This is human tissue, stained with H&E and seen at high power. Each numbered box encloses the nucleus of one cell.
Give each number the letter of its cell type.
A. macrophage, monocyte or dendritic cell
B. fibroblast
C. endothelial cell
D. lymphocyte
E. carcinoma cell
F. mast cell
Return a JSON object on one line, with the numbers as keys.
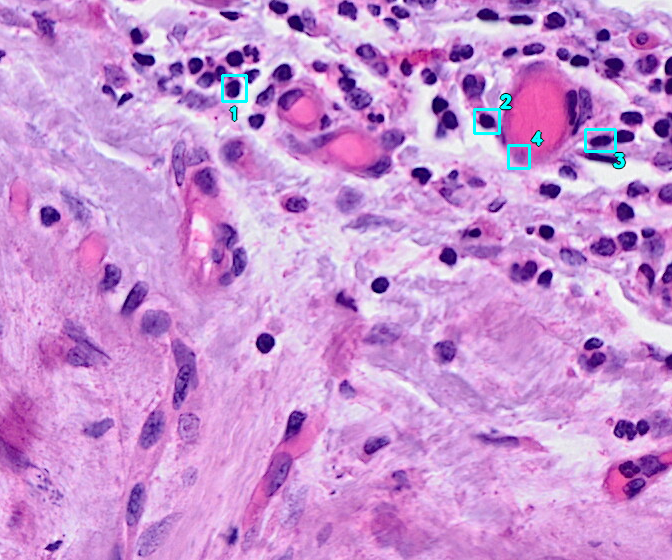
{"1": "D", "2": "D", "3": "D", "4": "C"}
